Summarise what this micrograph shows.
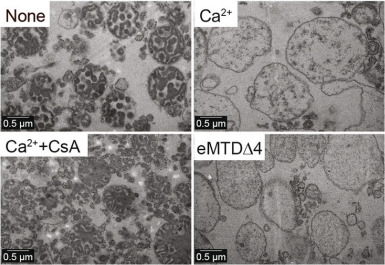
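Electron micrographs of isolated mitochondria. In the other two fields the mitochondria are large and rounded, with pale matrix and few remaining inner membrane folds. The enlarged organelles are bounded by thin membranes and lie loosely among membrane fragments.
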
